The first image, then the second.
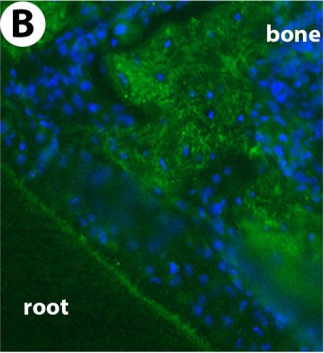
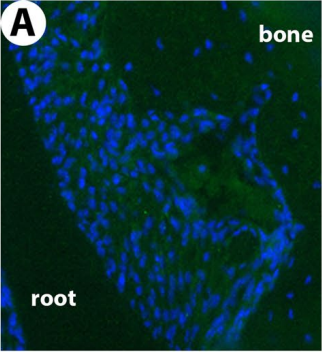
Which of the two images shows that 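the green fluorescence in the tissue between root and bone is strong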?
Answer: The first image.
